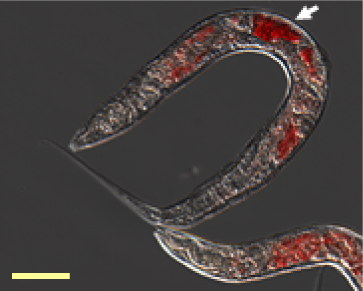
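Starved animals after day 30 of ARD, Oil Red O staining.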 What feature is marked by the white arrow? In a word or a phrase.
Arrested embryos.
